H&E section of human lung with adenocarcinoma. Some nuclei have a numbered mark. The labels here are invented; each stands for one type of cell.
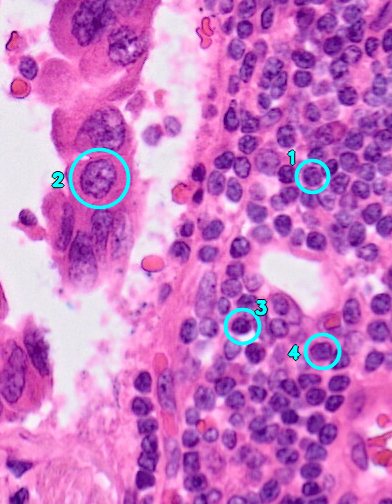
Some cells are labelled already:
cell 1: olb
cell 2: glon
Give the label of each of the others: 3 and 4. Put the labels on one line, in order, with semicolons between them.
olb; olb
